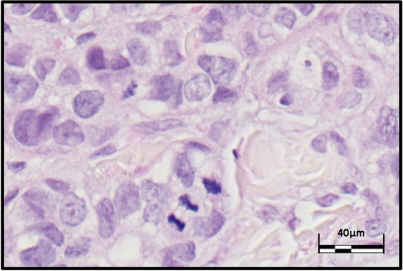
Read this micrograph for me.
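Nests and cords of large epithelial tumor cells lie in pale pink fibrous stroma, their nuclei big, irregular and vesicular with prominent nucleoli and moderate pale violet cytoplasm. Near the lower middle one cell shows condensed dark chromosomes of a mitotic figure.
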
